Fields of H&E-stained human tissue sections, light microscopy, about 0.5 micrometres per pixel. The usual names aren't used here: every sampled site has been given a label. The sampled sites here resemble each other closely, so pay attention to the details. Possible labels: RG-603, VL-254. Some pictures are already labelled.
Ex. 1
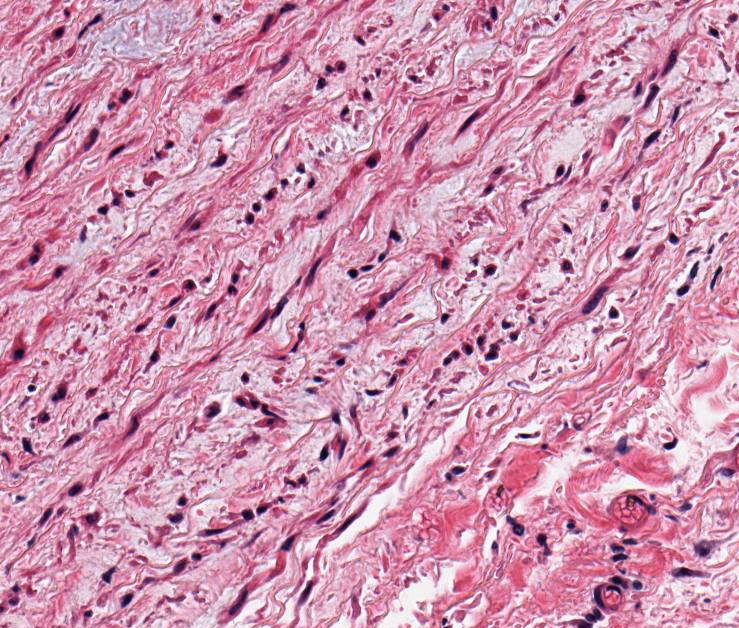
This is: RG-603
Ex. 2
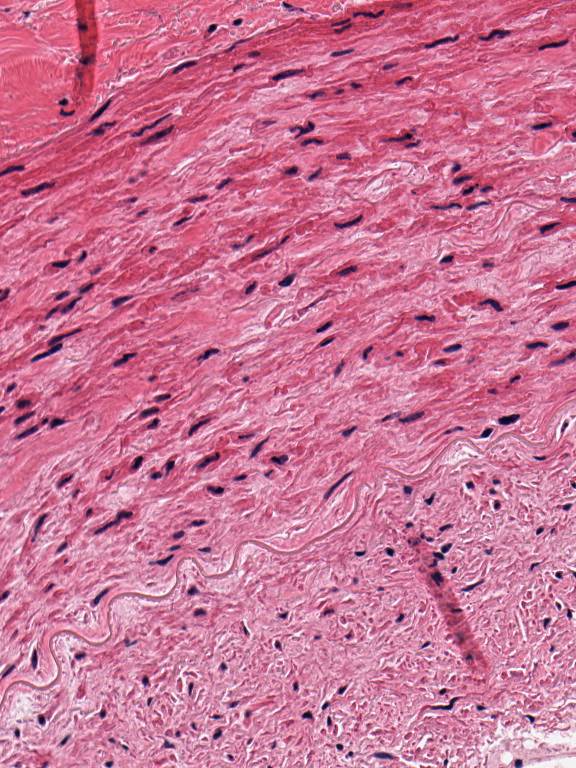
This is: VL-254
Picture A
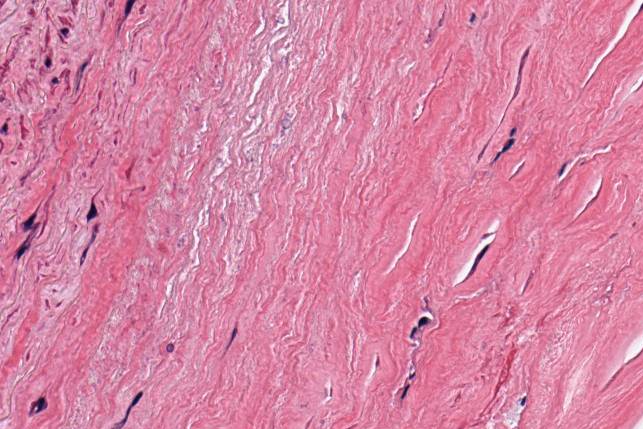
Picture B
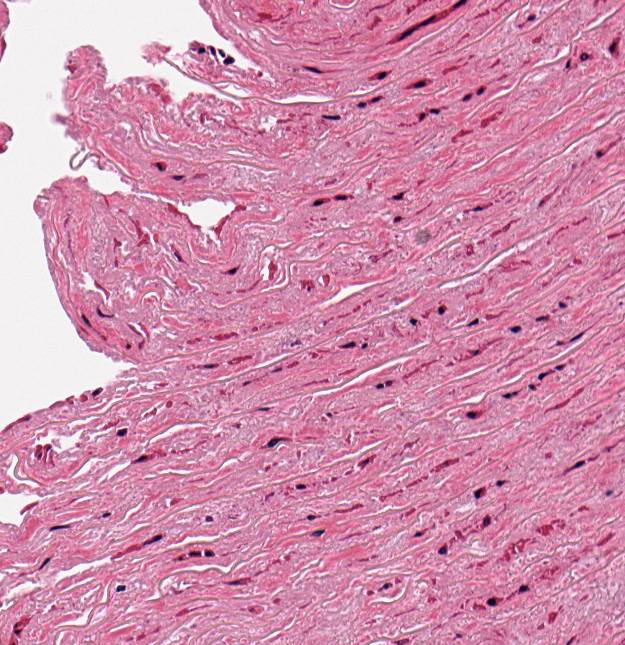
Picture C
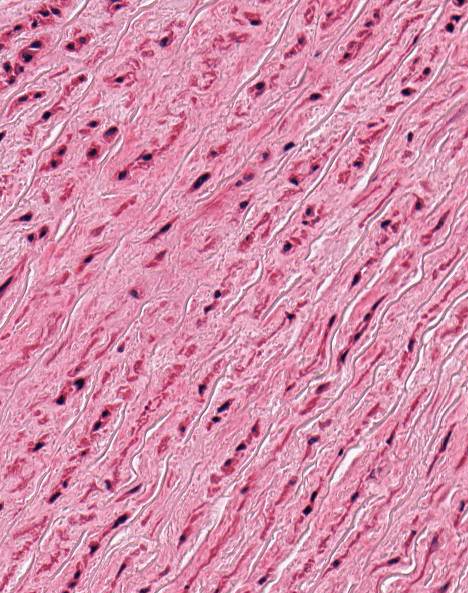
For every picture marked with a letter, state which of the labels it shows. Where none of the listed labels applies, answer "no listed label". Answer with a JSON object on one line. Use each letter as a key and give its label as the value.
{"A": "RG-603", "B": "RG-603", "C": "RG-603"}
